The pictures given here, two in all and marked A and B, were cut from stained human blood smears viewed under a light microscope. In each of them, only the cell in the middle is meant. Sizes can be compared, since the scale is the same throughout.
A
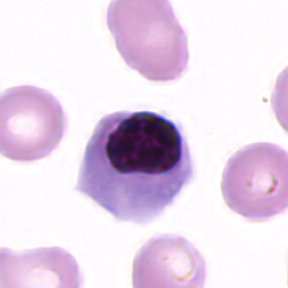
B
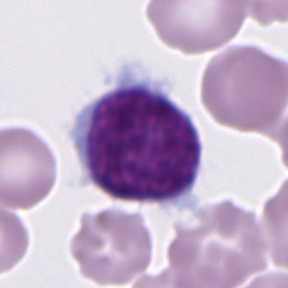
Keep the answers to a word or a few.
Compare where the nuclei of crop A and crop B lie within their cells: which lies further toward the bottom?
B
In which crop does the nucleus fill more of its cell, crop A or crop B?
B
